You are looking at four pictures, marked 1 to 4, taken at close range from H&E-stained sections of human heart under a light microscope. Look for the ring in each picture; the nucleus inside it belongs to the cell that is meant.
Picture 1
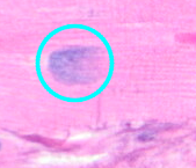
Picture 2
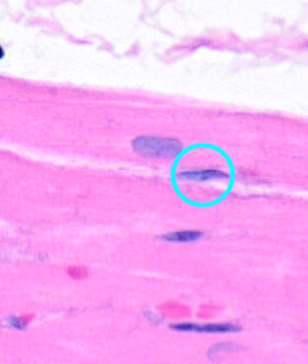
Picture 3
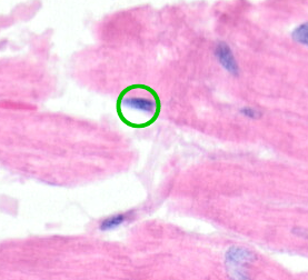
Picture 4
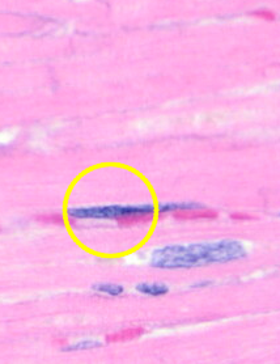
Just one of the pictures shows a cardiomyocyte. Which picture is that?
1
